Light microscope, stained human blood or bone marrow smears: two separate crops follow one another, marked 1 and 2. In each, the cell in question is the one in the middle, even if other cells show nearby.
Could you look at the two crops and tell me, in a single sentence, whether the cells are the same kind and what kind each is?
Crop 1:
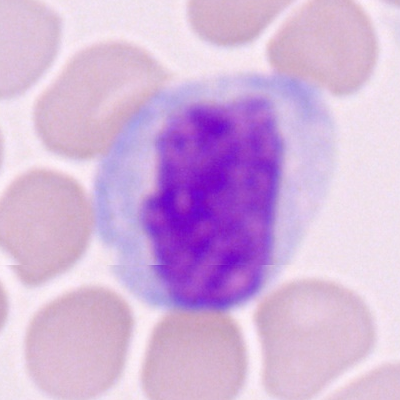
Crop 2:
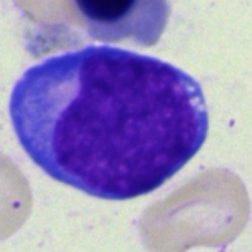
No, in crop 2 the central cell is a blast, and in crop 1 it is a monocyte.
